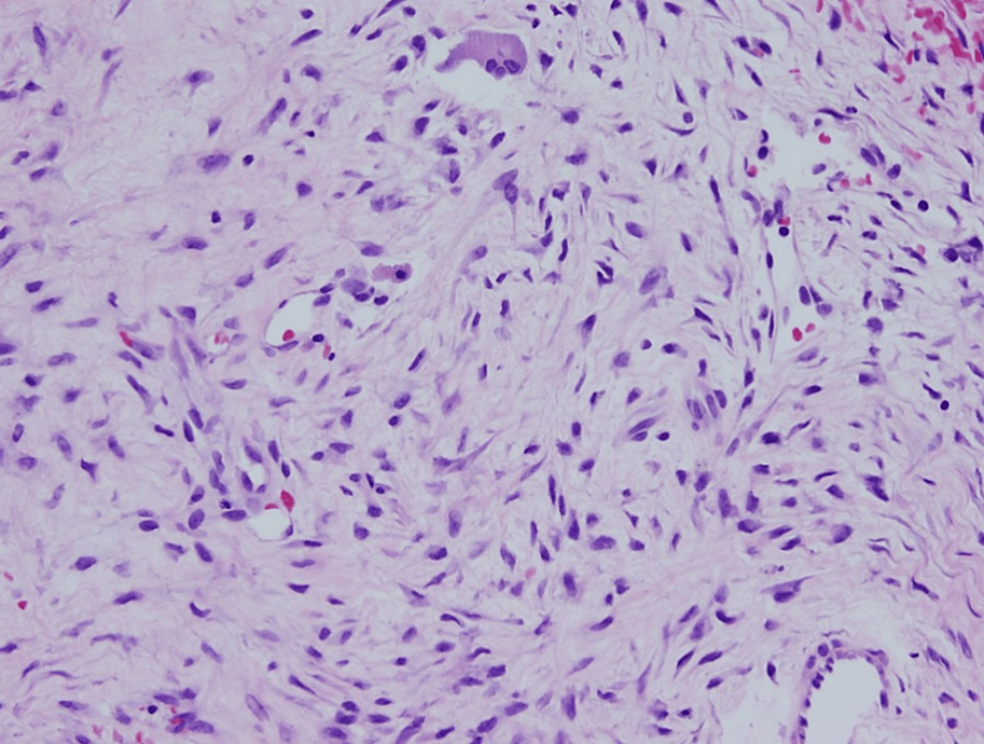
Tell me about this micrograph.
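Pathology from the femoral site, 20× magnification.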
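This is a cellular lesion built of spindle-shaped stromal cells set in a pale pink fibrillary stroma, with the fibers running haphazardly in crossing directions. The nuclei are oval to elongated and dark purple, and they are scattered fairly evenly without forming layers or a regular pattern. Near the top centre lies a multinucleated giant cell, with several nuclei clustered within pink cytoplasm, standing out clearly from the smaller spindle cells around it. Small thin-walled vessels containing red blood cells are dotted through the stroma. A little extravasated blood is seen at the upper right corner.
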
